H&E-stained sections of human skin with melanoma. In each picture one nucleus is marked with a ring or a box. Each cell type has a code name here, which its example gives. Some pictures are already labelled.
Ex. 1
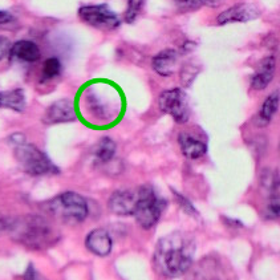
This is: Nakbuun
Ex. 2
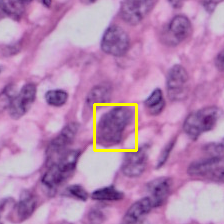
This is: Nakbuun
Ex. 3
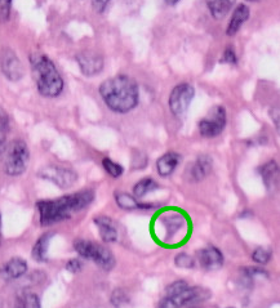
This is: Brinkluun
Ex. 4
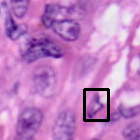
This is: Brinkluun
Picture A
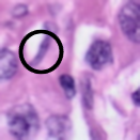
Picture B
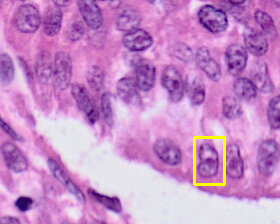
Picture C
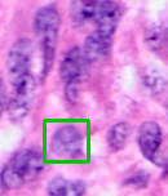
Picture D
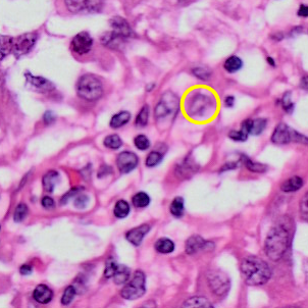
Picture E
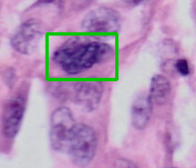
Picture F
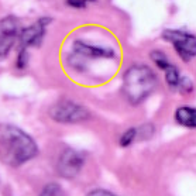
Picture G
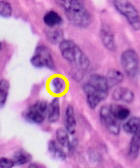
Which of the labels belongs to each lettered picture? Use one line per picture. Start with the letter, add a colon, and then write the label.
A: Brinkluun
B: Nakbuun
C: Nakbuun
D: Brinkluun
E: Nakbuun
F: Brinkluun
G: Nakbuun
